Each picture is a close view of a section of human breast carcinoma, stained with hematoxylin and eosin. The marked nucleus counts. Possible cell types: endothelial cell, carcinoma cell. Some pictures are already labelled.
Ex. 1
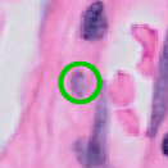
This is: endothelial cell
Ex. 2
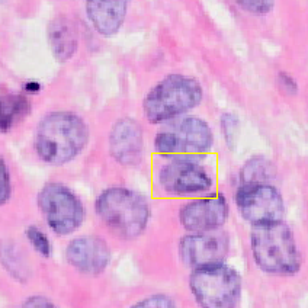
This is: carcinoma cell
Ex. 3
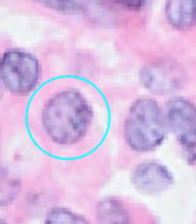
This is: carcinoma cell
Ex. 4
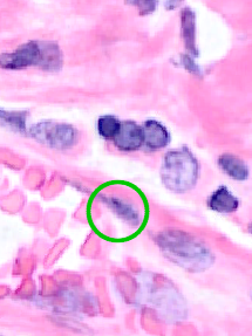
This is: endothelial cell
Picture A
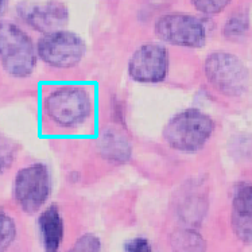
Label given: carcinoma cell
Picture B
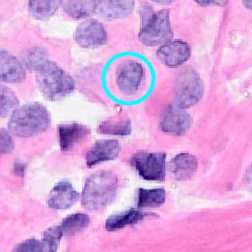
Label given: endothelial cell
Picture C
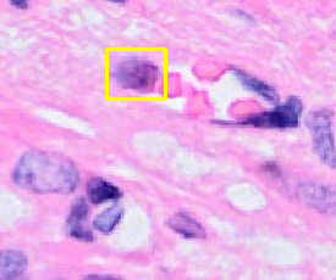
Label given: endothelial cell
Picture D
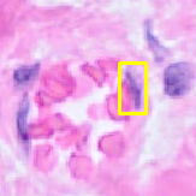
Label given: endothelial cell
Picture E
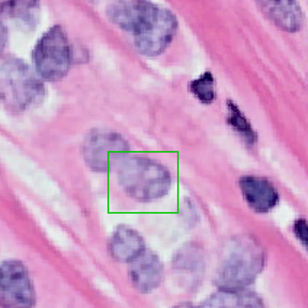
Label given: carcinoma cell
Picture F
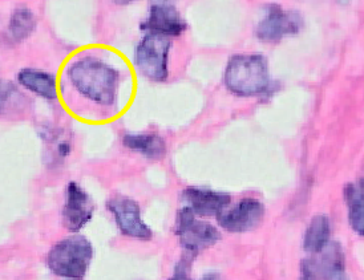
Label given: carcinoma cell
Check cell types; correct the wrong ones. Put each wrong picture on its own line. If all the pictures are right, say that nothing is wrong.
B should be carcinoma cell, not endothelial cell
